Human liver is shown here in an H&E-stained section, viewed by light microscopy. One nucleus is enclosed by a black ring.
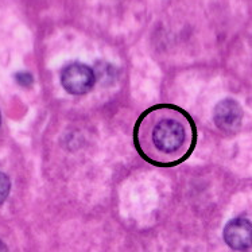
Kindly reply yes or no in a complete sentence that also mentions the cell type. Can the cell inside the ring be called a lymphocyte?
No, the cell inside the ring is to be identified as a hepatocyte, not a lymphocyte.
